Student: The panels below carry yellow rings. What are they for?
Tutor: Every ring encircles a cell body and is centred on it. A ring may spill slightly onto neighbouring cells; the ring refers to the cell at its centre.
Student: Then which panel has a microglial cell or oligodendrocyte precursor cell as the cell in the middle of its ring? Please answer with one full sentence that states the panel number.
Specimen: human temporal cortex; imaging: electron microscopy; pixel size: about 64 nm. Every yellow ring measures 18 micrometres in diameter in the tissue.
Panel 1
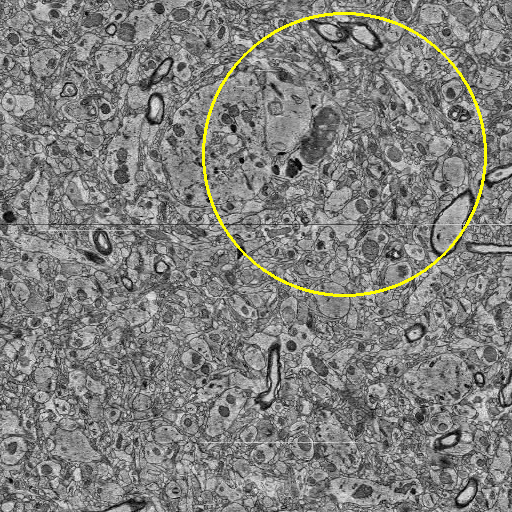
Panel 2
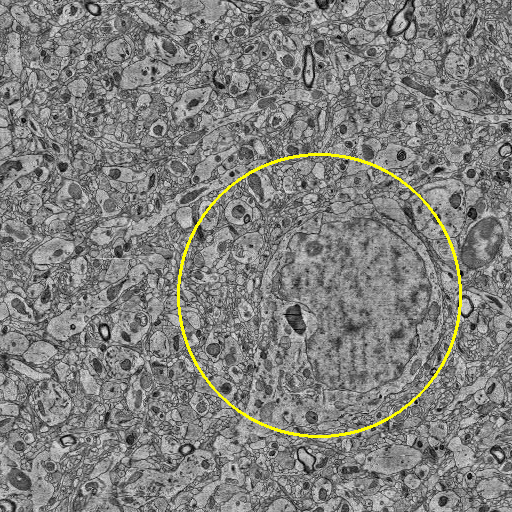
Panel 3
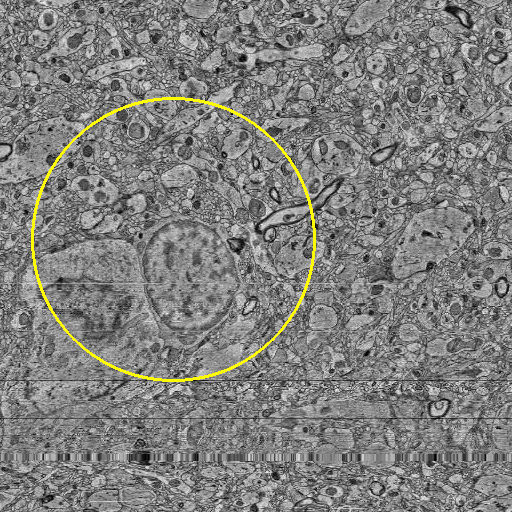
In Panel 1, the cell centred in the ring is the one sought.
